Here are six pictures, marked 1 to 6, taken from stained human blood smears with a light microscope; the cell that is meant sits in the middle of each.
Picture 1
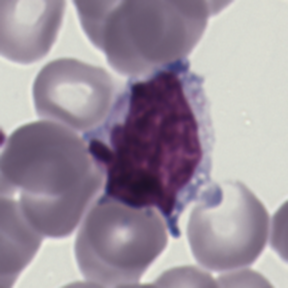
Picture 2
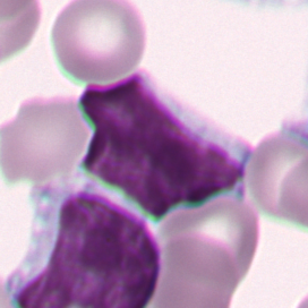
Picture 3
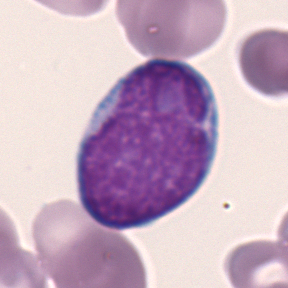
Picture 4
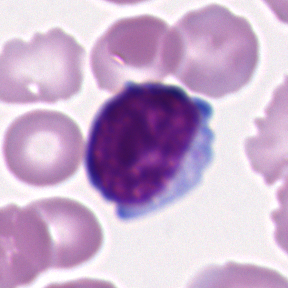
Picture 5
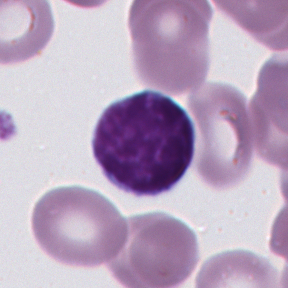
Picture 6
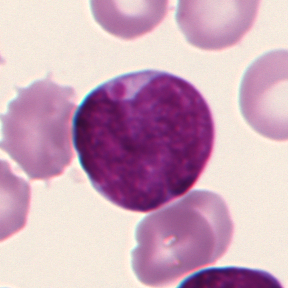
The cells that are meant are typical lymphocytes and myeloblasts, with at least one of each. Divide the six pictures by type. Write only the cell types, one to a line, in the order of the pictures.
typical lymphocyte
typical lymphocyte
myeloblast
typical lymphocyte
typical lymphocyte
myeloblast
